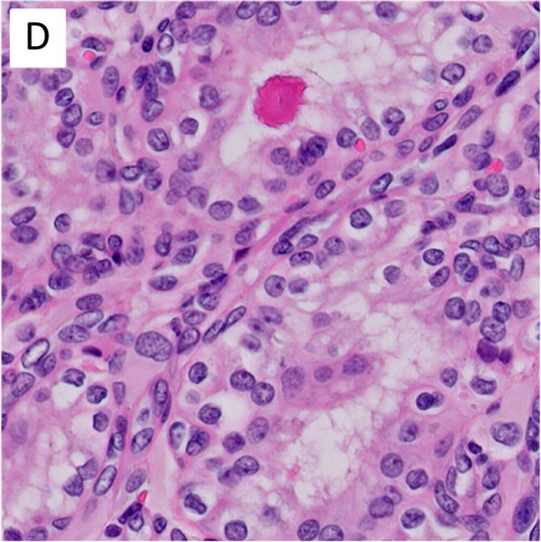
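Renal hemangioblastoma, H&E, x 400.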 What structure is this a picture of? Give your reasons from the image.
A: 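A bright pink, dense, rounded body lies in the upper centre among tumor cells. It is homogeneous and glassy, unlike the surrounding pale cytoplasm. So: Eosinophilic hyaline globules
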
